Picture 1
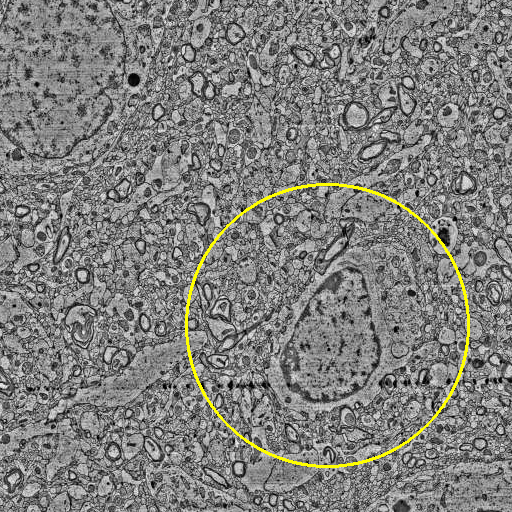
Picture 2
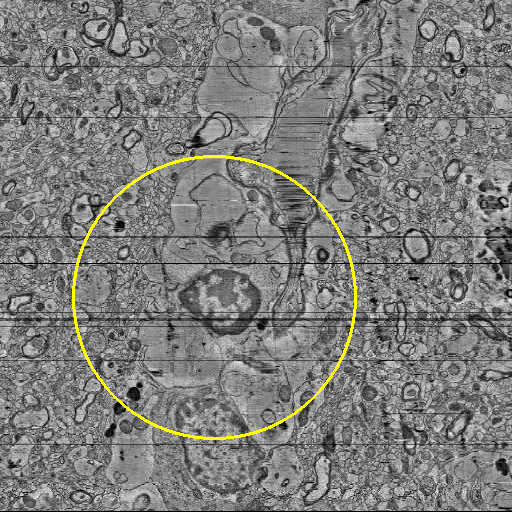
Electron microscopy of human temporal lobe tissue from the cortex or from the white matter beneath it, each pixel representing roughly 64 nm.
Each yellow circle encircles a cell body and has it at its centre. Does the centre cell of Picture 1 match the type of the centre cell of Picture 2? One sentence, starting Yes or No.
Yes, the cell centred in Picture 1 and the one in Picture 2 share a type.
